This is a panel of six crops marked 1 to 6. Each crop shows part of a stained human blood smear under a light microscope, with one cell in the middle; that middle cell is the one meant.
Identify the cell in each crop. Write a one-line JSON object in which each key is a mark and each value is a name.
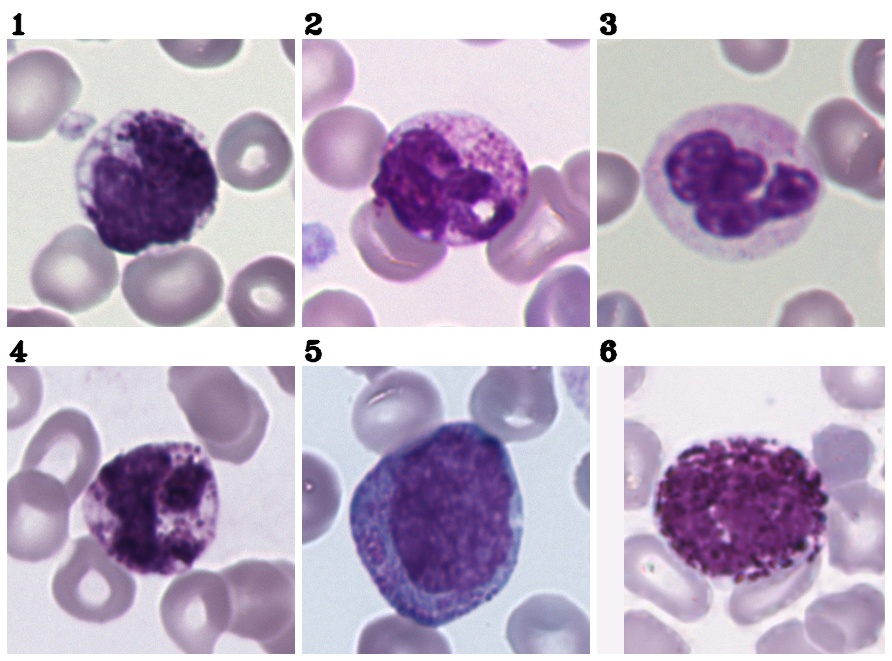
{"1": "basophil", "2": "basophil", "3": "segmented neutrophil", "4": "basophil", "5": "promyelocyte", "6": "basophil"}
